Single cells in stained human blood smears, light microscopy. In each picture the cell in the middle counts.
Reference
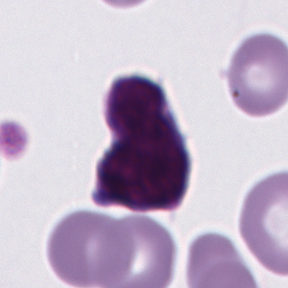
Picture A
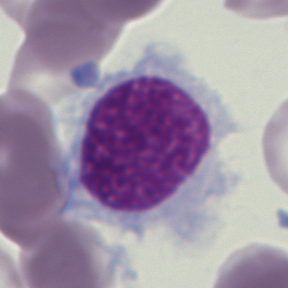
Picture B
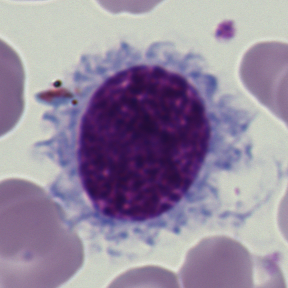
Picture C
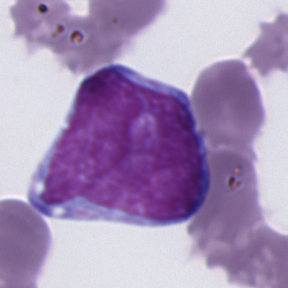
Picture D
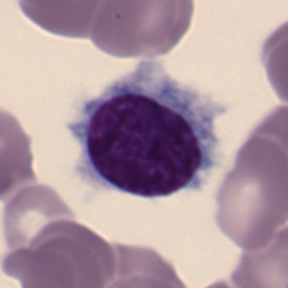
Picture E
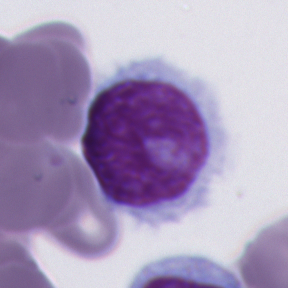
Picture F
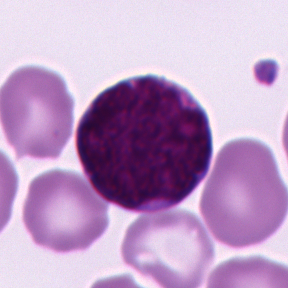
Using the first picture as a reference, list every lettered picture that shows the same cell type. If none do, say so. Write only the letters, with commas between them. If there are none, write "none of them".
C, F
